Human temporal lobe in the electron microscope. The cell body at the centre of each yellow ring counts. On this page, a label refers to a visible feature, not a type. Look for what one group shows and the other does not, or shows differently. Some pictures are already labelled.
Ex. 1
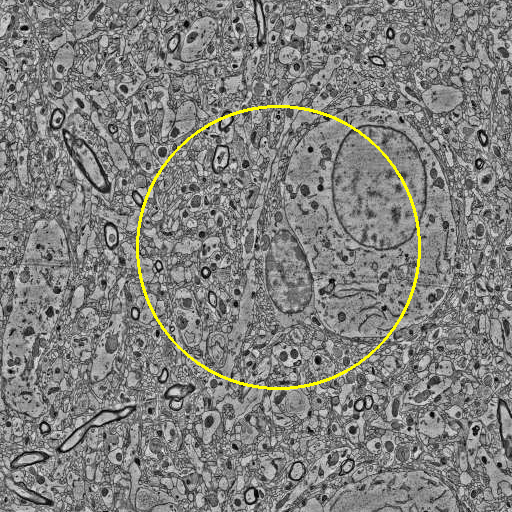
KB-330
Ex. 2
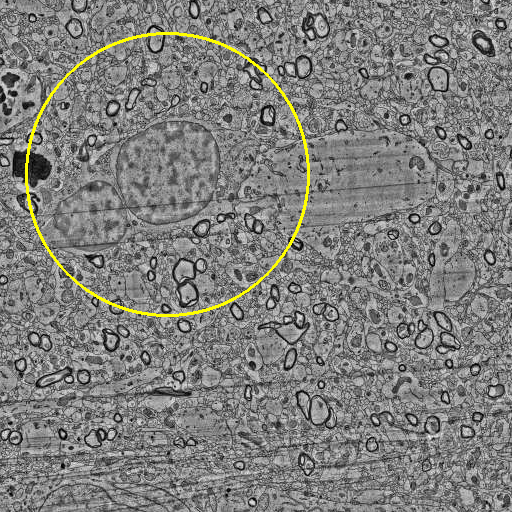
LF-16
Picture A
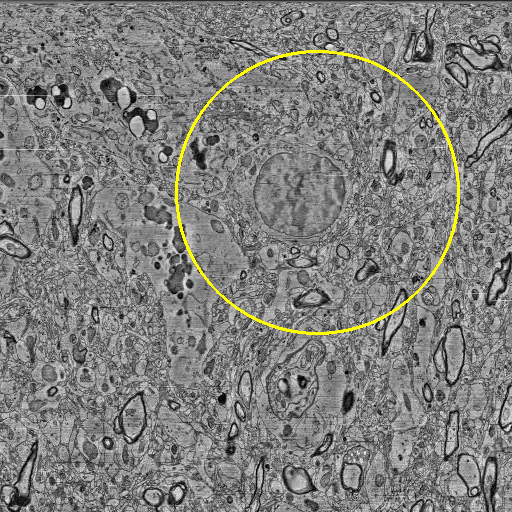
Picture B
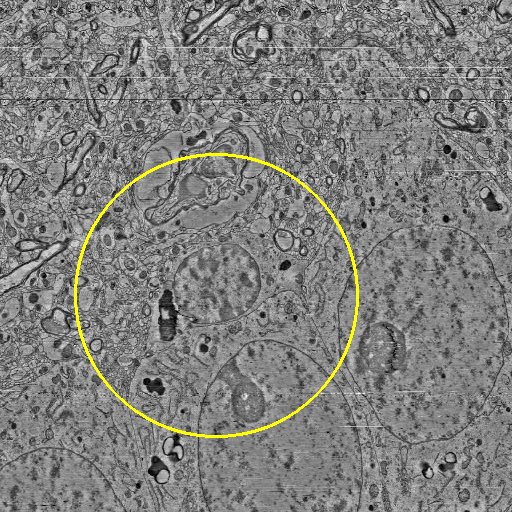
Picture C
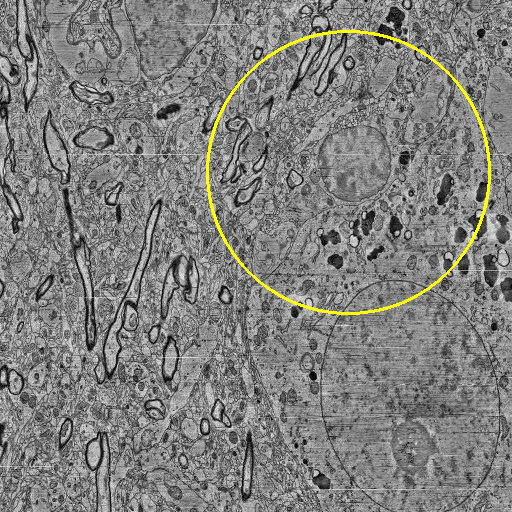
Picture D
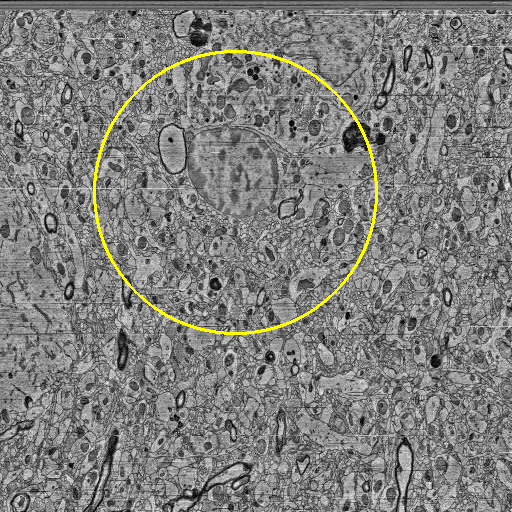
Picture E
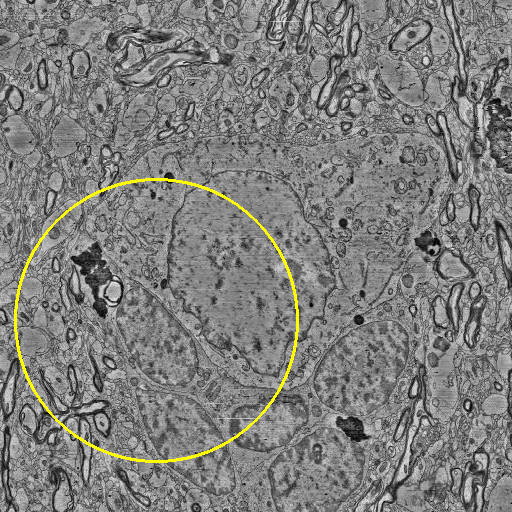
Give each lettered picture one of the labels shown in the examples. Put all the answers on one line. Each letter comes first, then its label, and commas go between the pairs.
A LF-16, B LF-16, C LF-16, D LF-16, E KB-330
